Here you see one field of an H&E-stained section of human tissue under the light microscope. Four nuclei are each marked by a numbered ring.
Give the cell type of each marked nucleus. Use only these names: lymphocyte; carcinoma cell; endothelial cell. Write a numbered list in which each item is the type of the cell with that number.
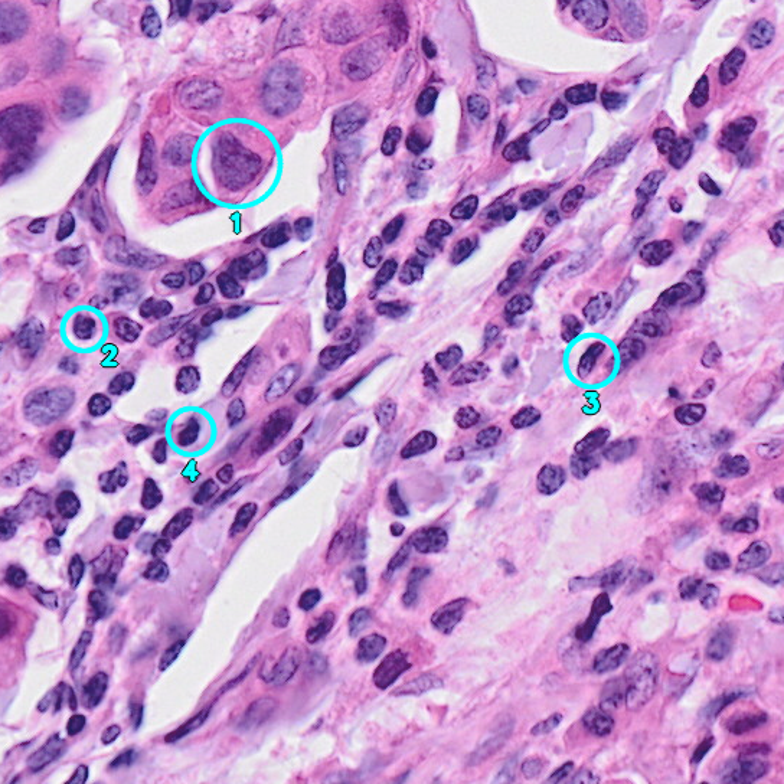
1. carcinoma cell
2. lymphocyte
3. lymphocyte
4. lymphocyte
